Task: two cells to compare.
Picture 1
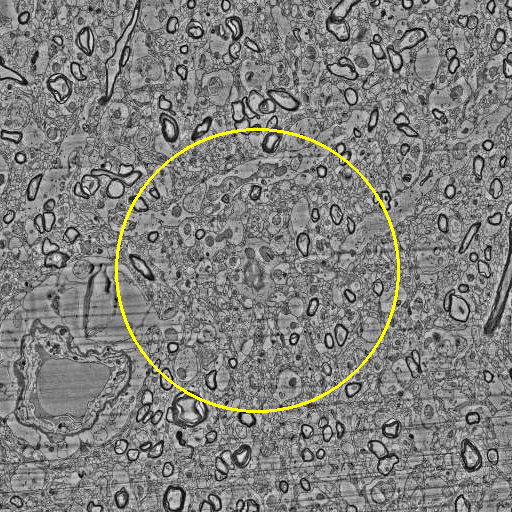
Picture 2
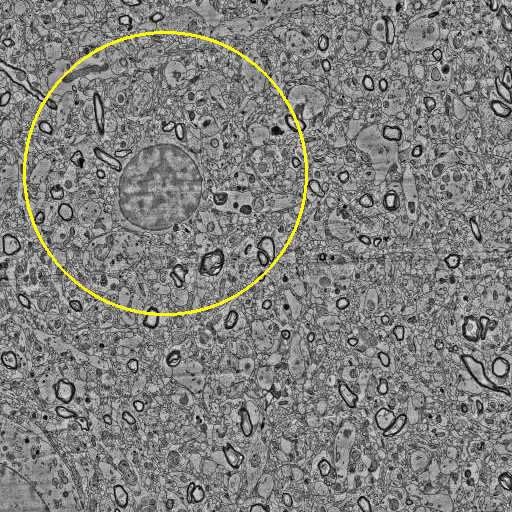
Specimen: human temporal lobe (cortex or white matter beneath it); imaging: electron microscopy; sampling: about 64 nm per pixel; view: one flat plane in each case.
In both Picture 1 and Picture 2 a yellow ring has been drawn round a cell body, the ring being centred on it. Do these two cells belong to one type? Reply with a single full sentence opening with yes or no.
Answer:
Yes, the two cells at the ring centres in Picture 1 and Picture 2 share one type.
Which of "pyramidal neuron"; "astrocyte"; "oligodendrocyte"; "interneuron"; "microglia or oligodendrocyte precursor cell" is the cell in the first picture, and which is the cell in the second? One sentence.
Both pictures show an oligodendrocyte at the centre of the ring.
